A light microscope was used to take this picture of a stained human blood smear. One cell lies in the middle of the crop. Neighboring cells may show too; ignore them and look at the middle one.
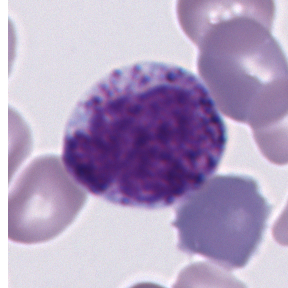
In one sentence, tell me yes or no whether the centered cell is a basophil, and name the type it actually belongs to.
Yes, the cell sitting in the middle of this smear crop is a basophil.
